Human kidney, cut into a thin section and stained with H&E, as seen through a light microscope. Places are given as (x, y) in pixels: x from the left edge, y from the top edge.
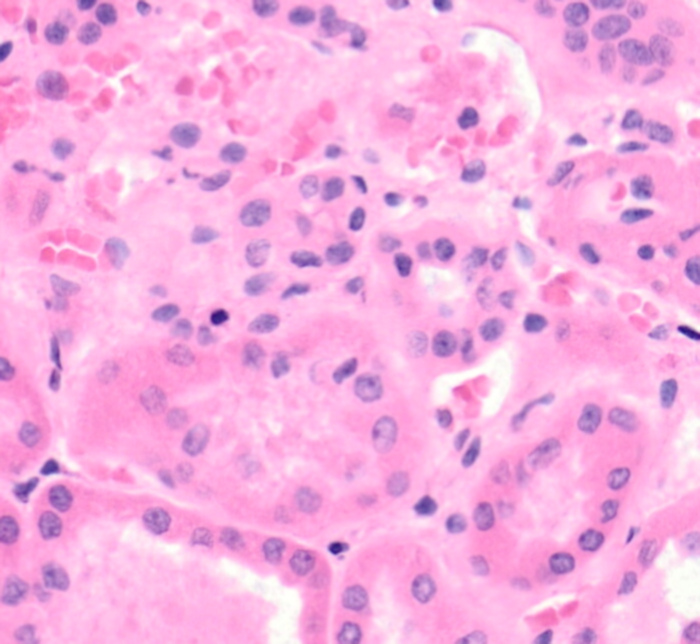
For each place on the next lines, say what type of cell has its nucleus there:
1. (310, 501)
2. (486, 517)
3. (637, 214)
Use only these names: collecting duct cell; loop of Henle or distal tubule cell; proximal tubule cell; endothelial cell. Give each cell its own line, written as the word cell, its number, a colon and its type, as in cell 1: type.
cell 1: proximal tubule cell
cell 2: proximal tubule cell
cell 3: endothelial cell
